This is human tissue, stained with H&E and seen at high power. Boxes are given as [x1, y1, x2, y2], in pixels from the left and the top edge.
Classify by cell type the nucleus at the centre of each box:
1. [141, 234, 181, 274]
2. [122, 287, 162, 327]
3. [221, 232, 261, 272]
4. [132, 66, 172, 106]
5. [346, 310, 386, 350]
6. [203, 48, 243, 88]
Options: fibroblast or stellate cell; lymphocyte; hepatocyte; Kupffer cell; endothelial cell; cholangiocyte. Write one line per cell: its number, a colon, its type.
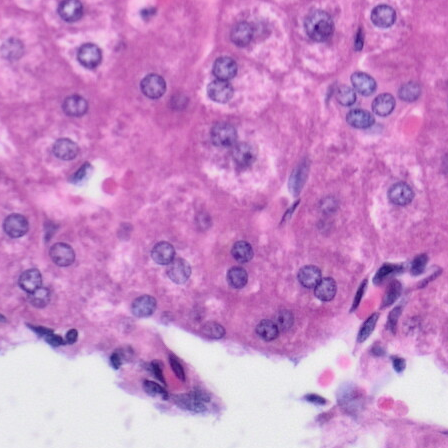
1: hepatocyte
2: cholangiocyte
3: hepatocyte
4: hepatocyte
5: fibroblast or stellate cell
6: hepatocyte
